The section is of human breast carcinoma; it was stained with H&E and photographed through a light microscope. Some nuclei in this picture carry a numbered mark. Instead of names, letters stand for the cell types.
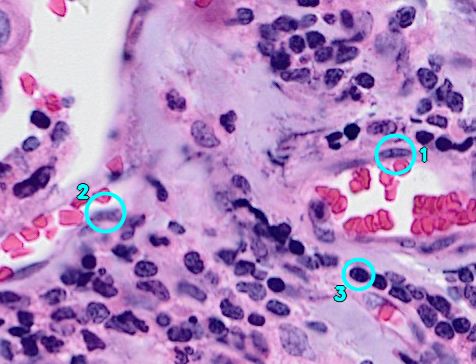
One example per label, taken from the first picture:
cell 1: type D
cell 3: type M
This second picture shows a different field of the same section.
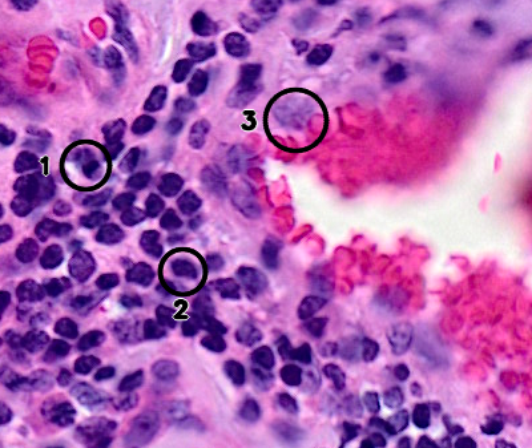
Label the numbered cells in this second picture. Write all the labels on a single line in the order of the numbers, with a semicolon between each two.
type M; type M; type D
